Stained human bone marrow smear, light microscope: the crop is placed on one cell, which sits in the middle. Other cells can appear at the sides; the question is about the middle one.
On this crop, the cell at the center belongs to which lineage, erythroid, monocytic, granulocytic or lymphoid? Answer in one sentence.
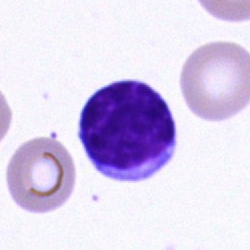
The middle cell of the crop belongs with the cells of the lymphoid lineage.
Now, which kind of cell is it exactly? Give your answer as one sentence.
The center cell of this crop is a lymphocyte.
